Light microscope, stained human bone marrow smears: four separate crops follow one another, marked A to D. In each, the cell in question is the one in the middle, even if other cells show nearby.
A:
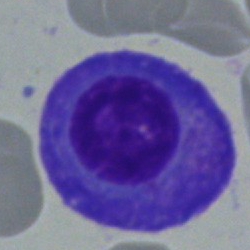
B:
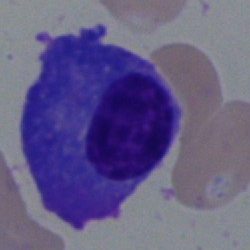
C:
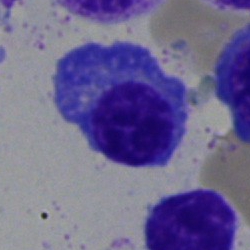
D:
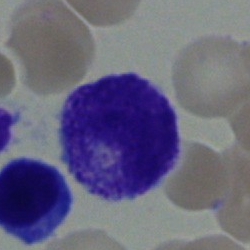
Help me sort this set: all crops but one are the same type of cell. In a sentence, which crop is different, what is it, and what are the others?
Apart from crop D, a myelocyte, the crops all show plasma cells.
